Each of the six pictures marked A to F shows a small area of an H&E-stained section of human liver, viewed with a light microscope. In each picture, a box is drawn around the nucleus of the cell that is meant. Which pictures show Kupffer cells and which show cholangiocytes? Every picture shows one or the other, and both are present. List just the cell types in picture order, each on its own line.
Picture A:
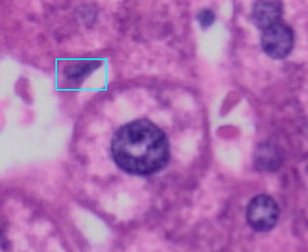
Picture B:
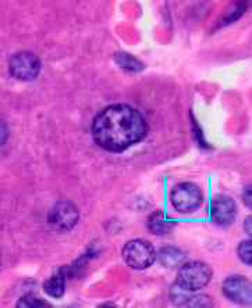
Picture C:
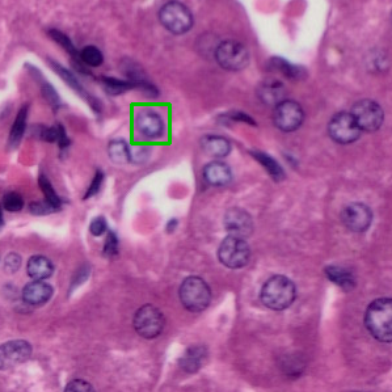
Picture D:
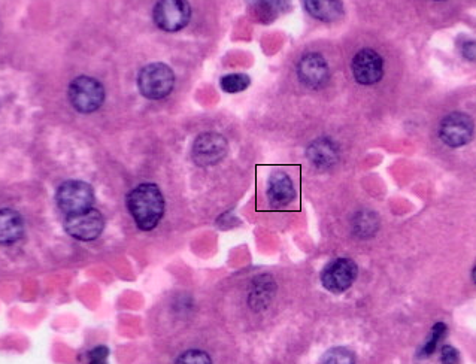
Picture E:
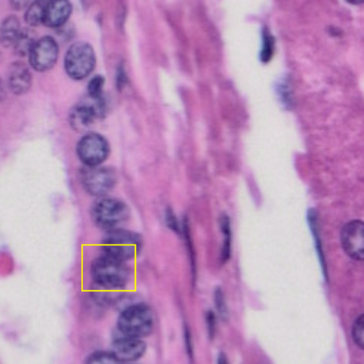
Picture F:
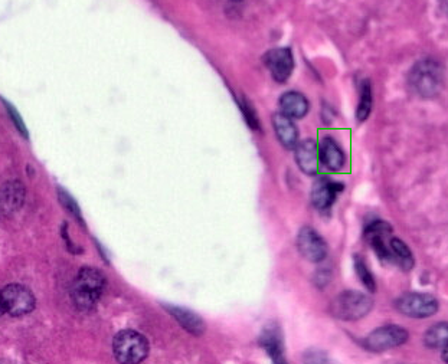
Kupffer cell
cholangiocyte
cholangiocyte
Kupffer cell
cholangiocyte
cholangiocyte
